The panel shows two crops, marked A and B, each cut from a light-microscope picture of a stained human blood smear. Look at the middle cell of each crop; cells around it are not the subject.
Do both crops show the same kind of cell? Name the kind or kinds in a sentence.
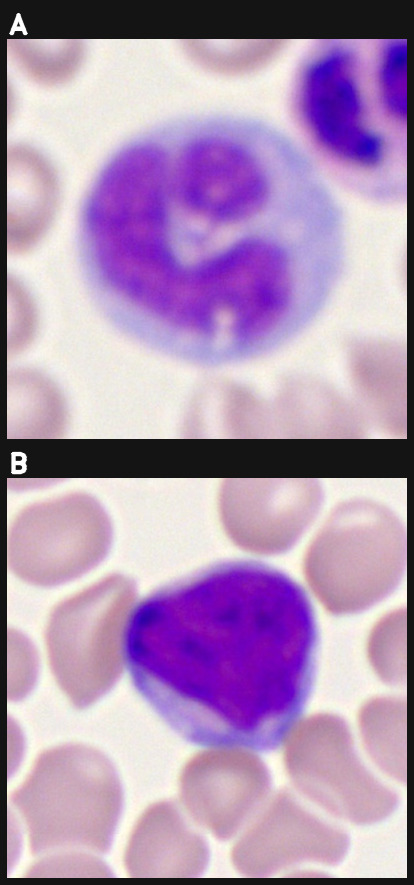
No, a myeloblast is in crop B, and a monocyte is in crop A.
